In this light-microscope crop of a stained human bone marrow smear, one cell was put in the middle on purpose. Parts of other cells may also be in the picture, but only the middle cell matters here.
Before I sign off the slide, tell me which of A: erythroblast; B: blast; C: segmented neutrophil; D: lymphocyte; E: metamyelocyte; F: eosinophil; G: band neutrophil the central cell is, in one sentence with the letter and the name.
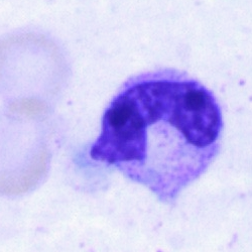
Here the central cell is a band neutrophil, and option G is correct.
